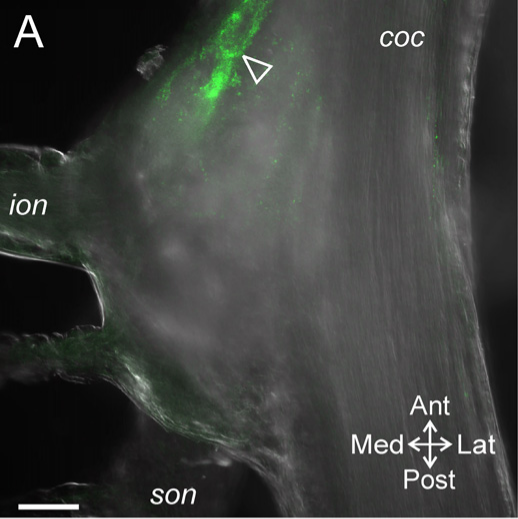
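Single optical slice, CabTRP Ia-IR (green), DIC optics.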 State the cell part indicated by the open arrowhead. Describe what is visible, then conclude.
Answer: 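The green profiles are elongated and fibre-like rather than round cell bodies. That points to this answer: axons.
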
